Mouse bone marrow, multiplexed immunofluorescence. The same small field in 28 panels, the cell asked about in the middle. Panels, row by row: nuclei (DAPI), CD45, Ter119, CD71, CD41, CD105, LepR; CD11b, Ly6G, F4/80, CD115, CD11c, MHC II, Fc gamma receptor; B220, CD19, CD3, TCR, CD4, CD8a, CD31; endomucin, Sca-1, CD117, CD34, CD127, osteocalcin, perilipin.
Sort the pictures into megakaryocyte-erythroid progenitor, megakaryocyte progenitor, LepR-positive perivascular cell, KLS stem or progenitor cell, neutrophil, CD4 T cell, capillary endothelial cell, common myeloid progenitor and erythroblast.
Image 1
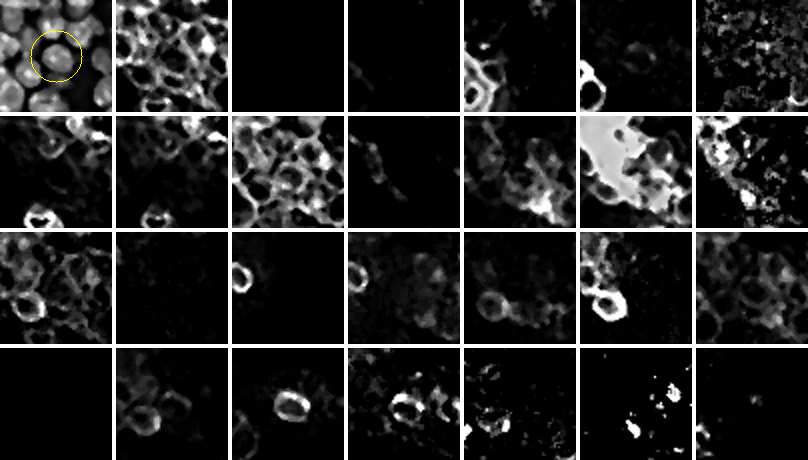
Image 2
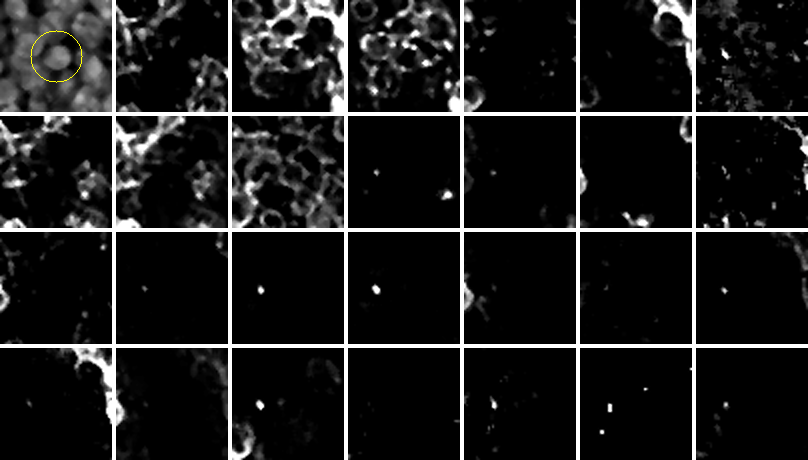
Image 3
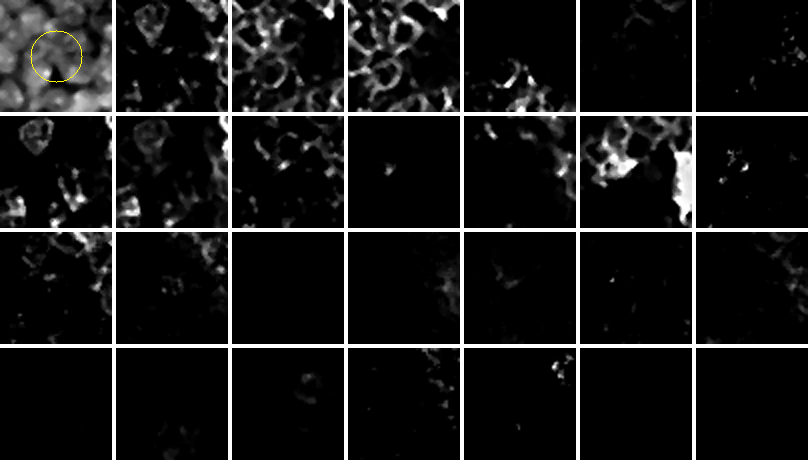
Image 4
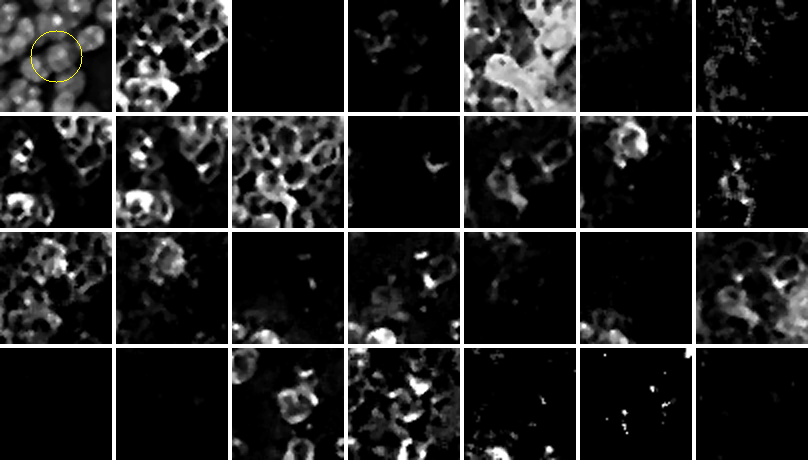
Common myeloid progenitors: 1
Erythroblasts: 2, 3
Megakaryocyte progenitors: 4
